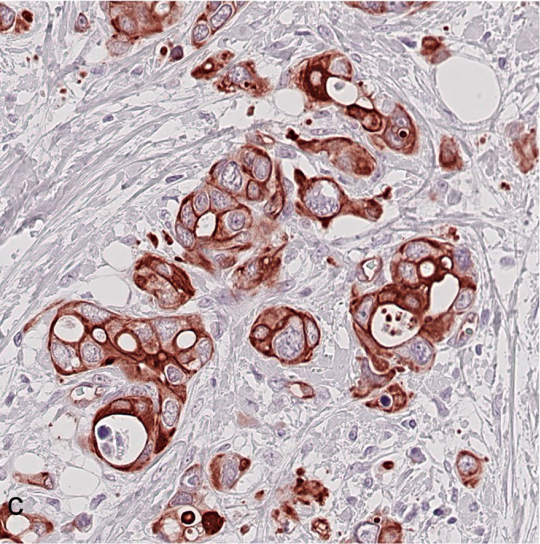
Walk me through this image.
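The tumor cells are strongly stained brown, with the stain concentrated at the cell borders and around small clear lumina within the clusters. The tumor cells have large, pale, vesicular nuclei. The spindle-shaped stromal cells between the nests remain unstained, showing only blue nuclei.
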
